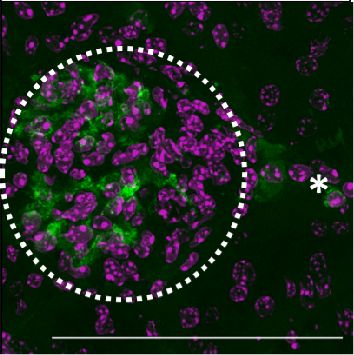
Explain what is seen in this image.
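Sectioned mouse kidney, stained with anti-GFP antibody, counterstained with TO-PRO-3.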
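A round renal corpuscle fills much of the view, packed with densely clustered magenta nuclei and set apart from the surrounding tissue, whose nuclei are fewer and more widely spaced. Green signal forms irregular branching streaks between the nuclei through the interior of the corpuscle, and a small green patch lies just outside its rim at one side.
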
